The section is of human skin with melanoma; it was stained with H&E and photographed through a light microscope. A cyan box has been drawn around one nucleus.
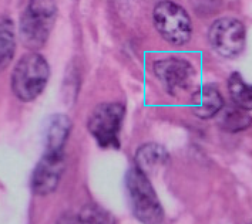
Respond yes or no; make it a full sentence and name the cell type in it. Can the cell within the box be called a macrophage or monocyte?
No, on this slide the cell within the box is a melanoma cell, not a macrophage or monocyte.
